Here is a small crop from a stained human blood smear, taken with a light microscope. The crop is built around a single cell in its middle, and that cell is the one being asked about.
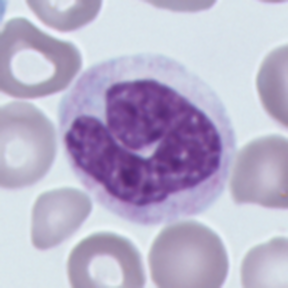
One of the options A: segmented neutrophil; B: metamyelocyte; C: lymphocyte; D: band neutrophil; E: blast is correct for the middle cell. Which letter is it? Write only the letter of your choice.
D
